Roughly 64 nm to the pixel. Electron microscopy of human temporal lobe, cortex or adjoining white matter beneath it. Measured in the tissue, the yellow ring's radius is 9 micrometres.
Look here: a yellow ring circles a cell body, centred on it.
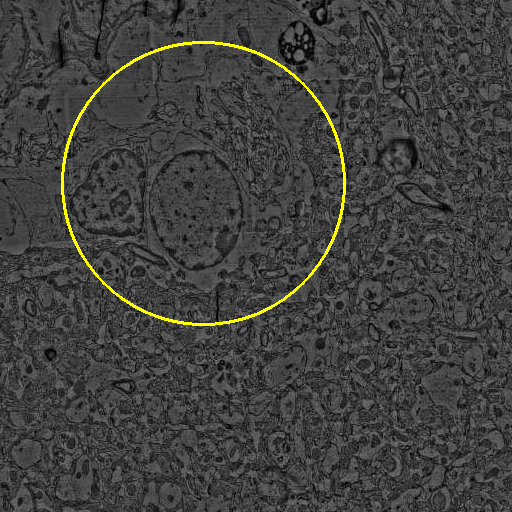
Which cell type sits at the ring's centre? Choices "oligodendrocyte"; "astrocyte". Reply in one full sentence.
The cell at the centre of the yellow ring in the picture is an astrocyte.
